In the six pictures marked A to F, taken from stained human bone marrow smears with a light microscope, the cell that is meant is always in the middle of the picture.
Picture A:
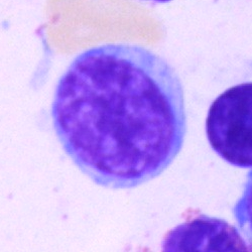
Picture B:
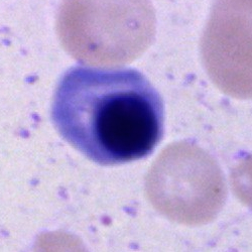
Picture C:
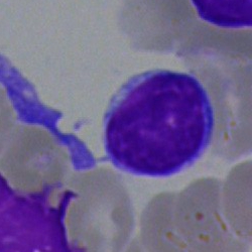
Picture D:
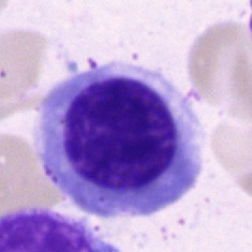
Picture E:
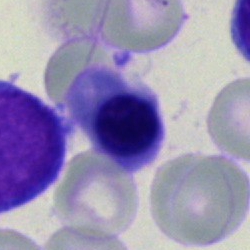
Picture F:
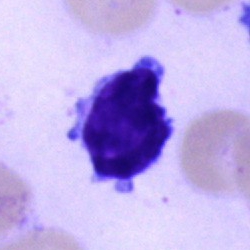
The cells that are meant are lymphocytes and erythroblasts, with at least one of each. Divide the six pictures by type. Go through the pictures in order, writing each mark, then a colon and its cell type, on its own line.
A: lymphocyte
B: erythroblast
C: lymphocyte
D: erythroblast
E: erythroblast
F: lymphocyte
